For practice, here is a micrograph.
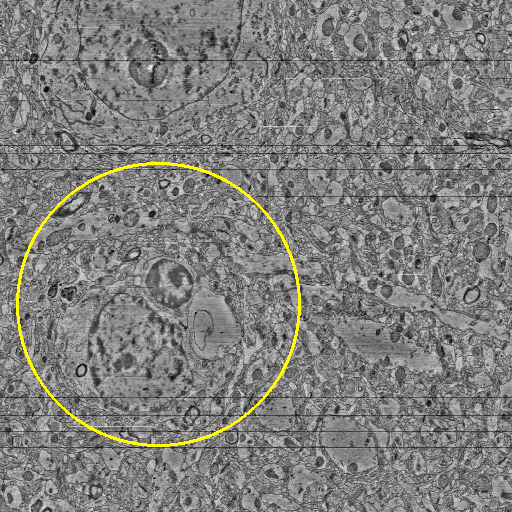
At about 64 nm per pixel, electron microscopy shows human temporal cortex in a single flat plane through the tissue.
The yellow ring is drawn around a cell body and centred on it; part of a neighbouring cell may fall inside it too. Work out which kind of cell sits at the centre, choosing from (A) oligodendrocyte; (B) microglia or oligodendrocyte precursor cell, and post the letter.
B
